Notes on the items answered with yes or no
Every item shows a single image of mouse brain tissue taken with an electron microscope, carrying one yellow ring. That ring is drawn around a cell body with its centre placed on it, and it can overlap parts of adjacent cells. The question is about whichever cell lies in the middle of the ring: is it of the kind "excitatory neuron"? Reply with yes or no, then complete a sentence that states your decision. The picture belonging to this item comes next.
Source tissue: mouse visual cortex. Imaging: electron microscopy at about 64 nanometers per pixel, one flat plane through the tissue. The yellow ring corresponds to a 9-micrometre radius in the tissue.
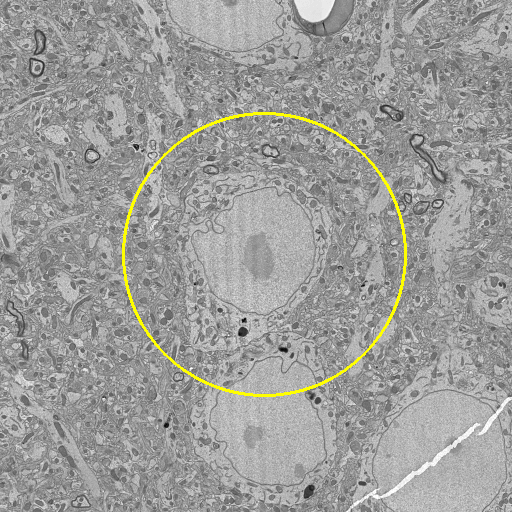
No, this micrograph shows a cell of another kind in the middle of the ring.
